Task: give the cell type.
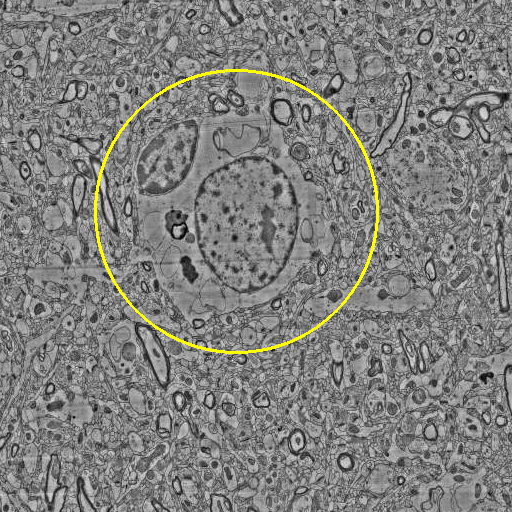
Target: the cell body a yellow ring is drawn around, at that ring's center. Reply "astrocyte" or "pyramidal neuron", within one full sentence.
In this picture, the cell whose body lies at the ring's center is an astrocyte.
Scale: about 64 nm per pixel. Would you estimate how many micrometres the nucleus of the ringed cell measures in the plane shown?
The nucleus of the ringed cell is approximately 9 by 7 micrometres in this plane.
